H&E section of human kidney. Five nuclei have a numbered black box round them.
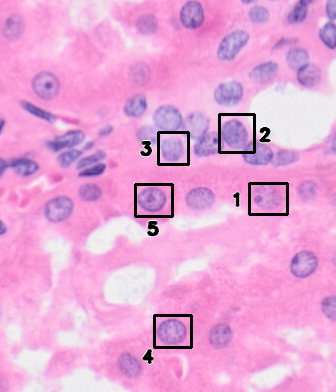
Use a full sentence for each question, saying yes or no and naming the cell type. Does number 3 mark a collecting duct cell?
Yes, cell number 3 is identified here as a collecting duct cell.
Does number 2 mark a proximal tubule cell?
No, the one with number 2 is a collecting duct cell, not a proximal tubule cell.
